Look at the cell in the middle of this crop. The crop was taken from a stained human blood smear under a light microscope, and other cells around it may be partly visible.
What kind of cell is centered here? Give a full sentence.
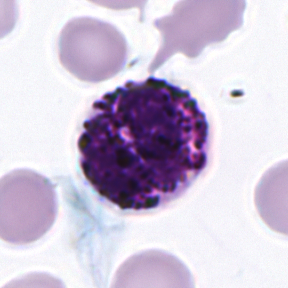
The cell sitting right in the middle is a basophil.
